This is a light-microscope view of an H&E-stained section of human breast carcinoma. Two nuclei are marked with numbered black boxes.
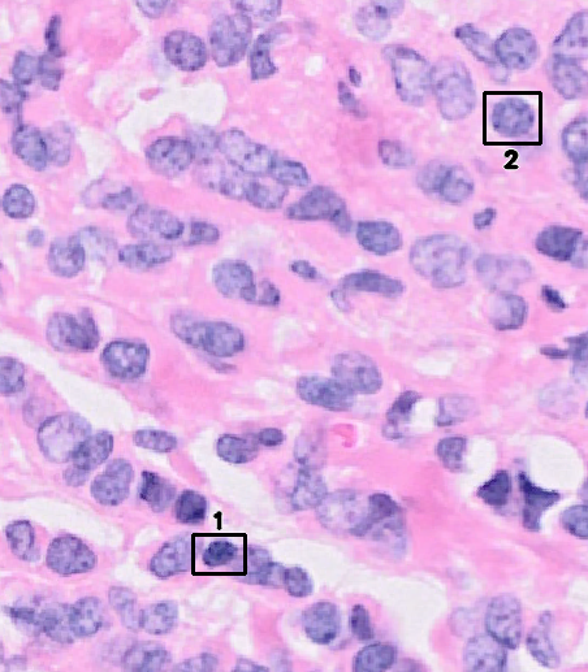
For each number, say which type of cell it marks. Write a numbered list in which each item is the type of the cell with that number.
1. lymphocyte
2. carcinoma cell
